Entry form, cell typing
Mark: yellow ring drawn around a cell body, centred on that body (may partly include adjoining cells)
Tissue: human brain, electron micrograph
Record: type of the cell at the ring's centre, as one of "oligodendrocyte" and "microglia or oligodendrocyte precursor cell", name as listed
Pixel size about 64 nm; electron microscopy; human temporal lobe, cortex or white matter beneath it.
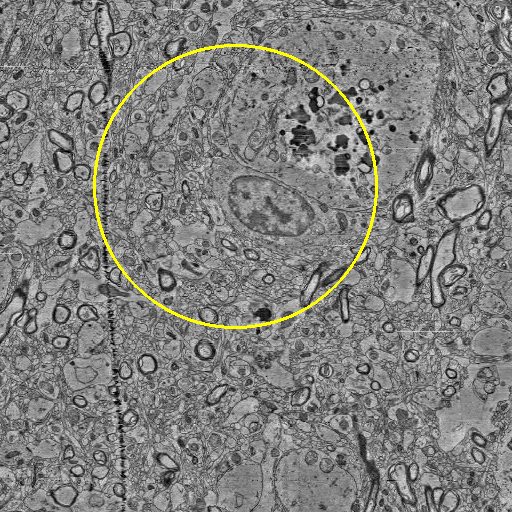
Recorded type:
oligodendrocyte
